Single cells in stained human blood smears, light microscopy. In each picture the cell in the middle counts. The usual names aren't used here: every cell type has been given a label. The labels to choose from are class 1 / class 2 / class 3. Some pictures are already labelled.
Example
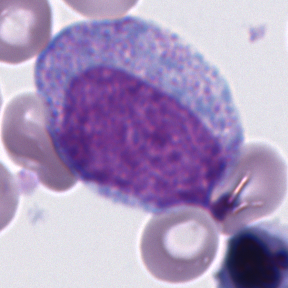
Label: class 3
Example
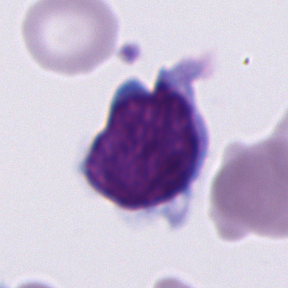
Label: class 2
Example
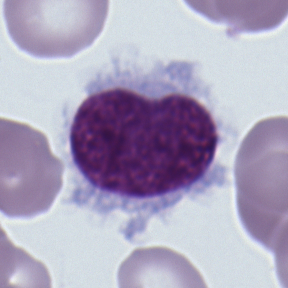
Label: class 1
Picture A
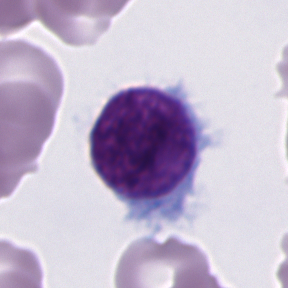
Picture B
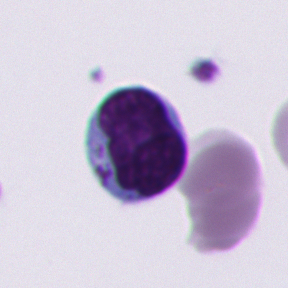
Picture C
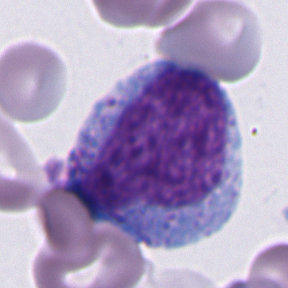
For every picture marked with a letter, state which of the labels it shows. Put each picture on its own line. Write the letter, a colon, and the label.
A: class 1
B: class 2
C: class 3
